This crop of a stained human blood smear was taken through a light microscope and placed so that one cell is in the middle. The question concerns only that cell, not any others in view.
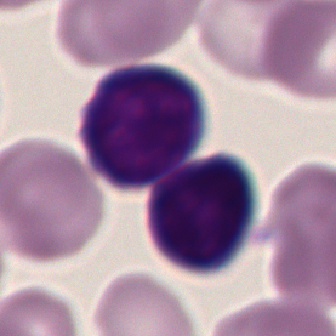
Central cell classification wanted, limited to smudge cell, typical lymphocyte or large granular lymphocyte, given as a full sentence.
In the crop, the cell of interest at the centre is a typical lymphocyte.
